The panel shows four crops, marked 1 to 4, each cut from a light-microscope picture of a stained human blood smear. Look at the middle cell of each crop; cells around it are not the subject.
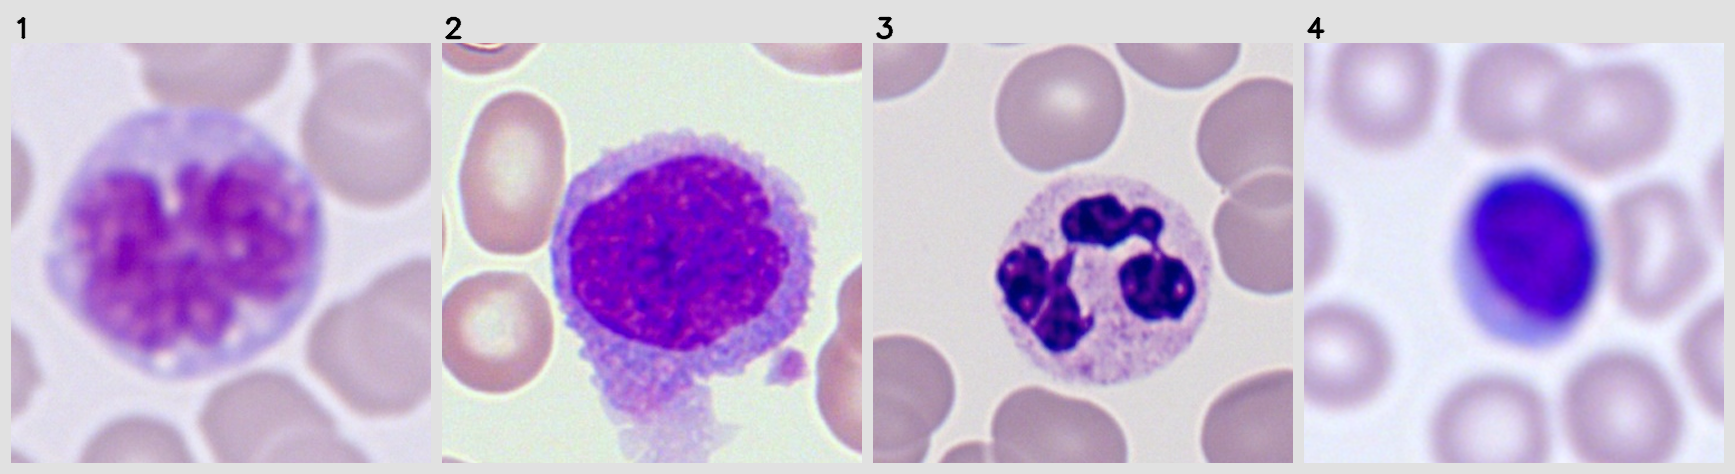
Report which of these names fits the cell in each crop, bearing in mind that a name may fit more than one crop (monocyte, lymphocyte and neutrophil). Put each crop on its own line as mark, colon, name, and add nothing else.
1: monocyte
2: monocyte
3: neutrophil
4: lymphocyte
